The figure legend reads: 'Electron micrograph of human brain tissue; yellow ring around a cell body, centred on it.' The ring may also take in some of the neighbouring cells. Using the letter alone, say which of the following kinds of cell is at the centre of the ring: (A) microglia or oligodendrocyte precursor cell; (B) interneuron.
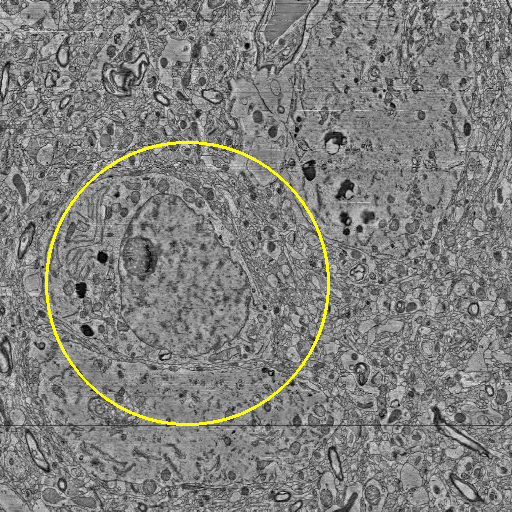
B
